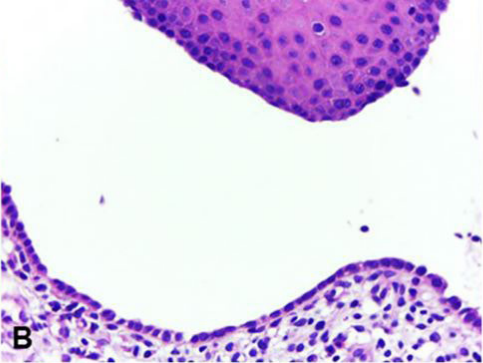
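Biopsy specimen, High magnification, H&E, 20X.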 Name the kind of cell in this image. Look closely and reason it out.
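The floor of the empty space is lined by one row of small cuboidal cells. This row rests directly on loose connective tissue. Detached layered epithelium lies above the space.
Conclusion: single layer of basal cells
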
